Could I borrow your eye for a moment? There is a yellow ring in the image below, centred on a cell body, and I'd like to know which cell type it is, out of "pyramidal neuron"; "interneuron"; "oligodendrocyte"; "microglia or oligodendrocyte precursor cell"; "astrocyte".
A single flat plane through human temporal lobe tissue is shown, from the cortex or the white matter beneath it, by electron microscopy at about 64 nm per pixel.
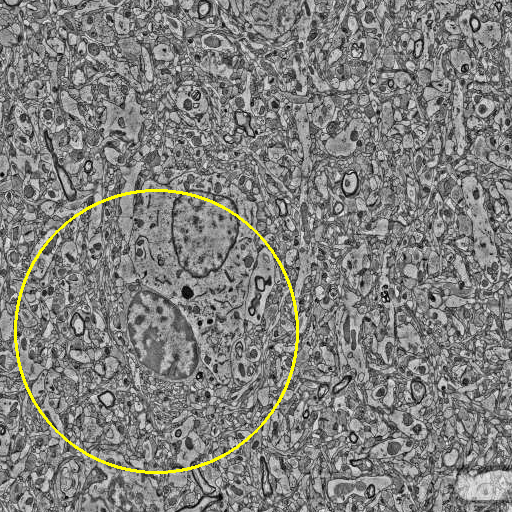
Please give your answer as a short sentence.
The cell body at the centre is that of an oligodendrocyte.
